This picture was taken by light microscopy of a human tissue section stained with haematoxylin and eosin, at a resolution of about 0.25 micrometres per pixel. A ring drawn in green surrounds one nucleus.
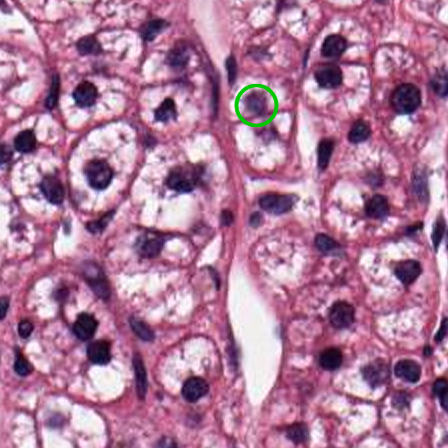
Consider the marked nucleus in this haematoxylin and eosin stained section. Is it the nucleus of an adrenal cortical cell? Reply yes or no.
yes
